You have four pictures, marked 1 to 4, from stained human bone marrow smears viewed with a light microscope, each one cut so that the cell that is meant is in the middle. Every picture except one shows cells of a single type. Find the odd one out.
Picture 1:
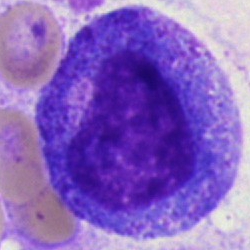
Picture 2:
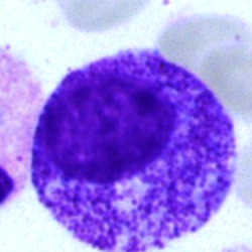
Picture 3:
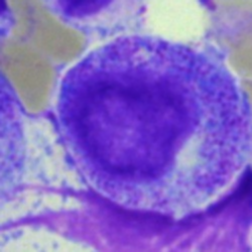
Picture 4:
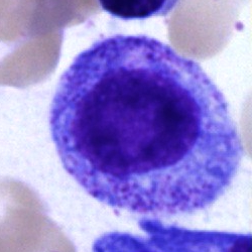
2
